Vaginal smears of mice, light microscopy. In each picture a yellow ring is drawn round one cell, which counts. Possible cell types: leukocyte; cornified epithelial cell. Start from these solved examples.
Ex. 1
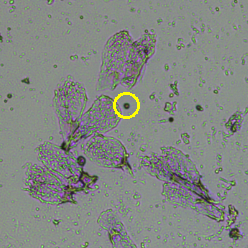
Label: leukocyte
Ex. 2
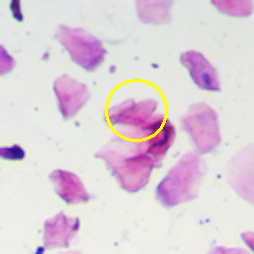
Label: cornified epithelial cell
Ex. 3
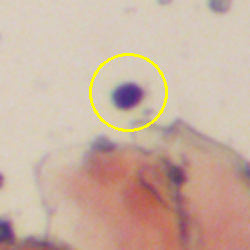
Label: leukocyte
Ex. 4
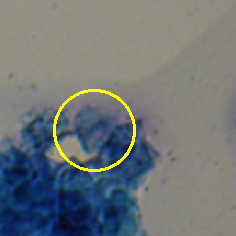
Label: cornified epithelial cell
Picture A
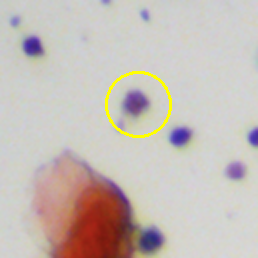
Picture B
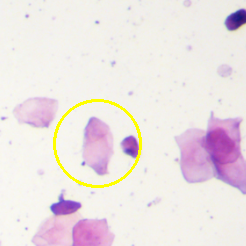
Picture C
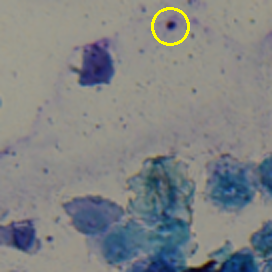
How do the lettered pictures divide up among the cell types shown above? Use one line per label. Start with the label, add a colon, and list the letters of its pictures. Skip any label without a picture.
leukocyte: A, C
cornified epithelial cell: B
